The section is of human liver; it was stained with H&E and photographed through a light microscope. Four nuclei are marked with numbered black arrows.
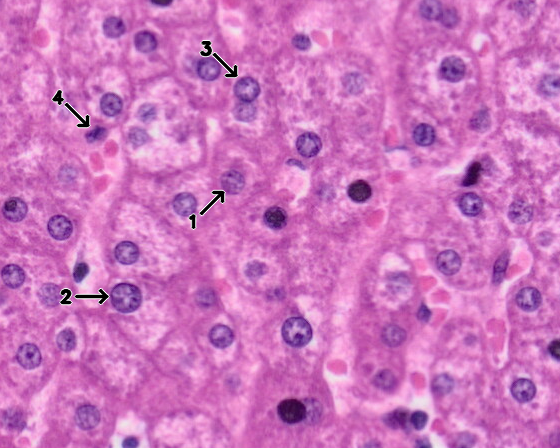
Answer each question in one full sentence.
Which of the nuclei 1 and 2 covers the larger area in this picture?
Of the two, number 2 is bigger and takes up about 1.5 times the area of number 1.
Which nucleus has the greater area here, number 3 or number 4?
At about 2 times the area of nucleus 4, nucleus 3 is the larger of the two.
